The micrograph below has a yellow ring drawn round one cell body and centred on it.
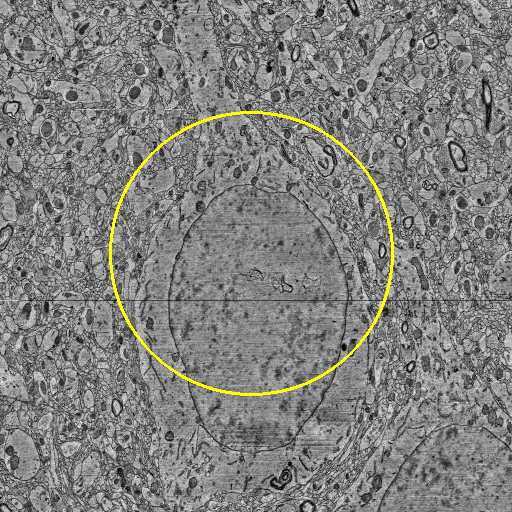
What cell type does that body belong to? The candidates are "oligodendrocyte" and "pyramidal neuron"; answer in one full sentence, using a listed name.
This is a pyramidal neuron, the cell whose body lies at the centre of the ring.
